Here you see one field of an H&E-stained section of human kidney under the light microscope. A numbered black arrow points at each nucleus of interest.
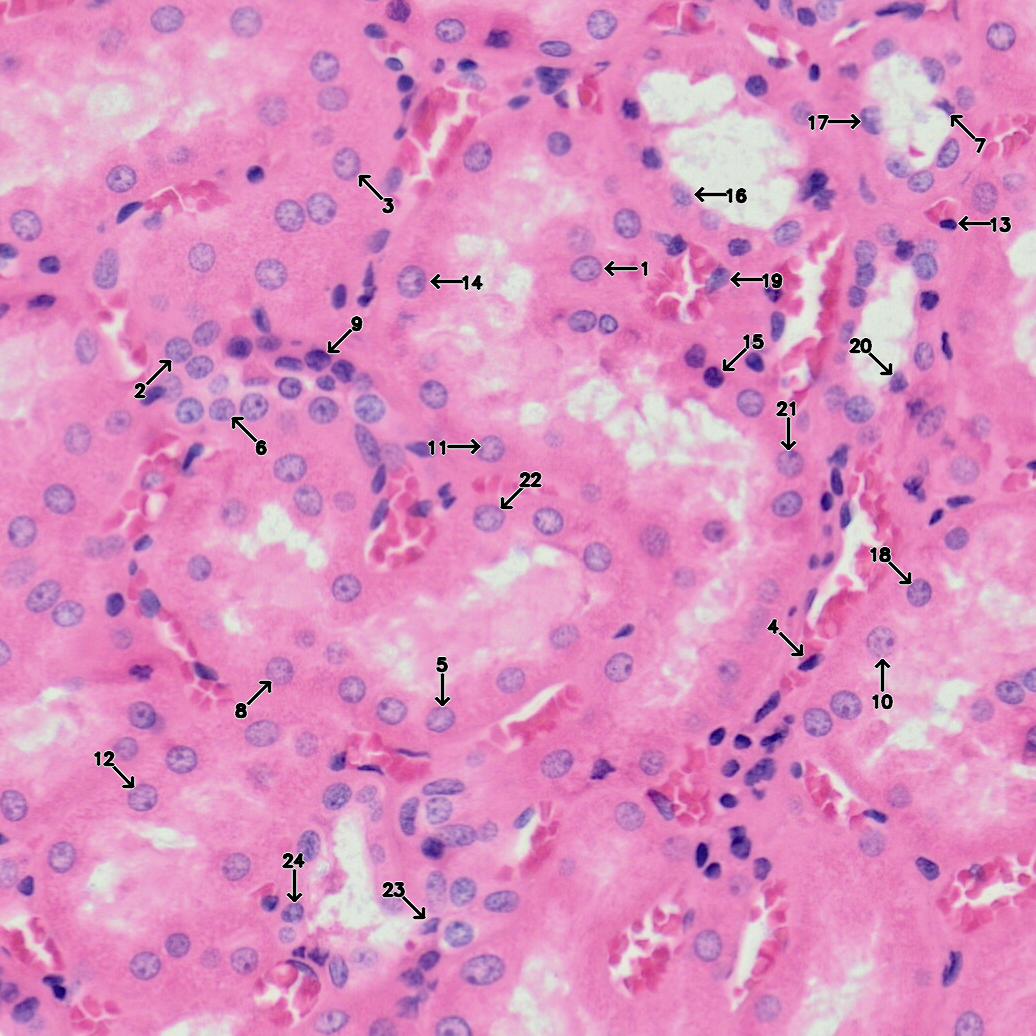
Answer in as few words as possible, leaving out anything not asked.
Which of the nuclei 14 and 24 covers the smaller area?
24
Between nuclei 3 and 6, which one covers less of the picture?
6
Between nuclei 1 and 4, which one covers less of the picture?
4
